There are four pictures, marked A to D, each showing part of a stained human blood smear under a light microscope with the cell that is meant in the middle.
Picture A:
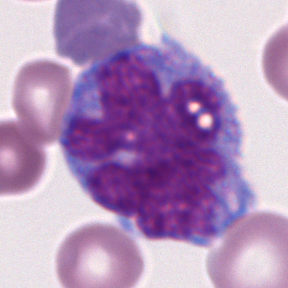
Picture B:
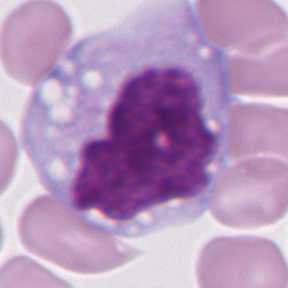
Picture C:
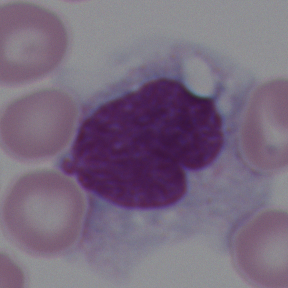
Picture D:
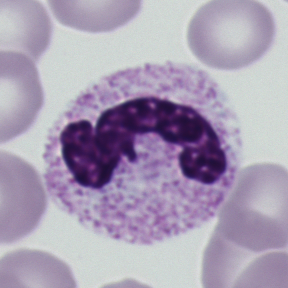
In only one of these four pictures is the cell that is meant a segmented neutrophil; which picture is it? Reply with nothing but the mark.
D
